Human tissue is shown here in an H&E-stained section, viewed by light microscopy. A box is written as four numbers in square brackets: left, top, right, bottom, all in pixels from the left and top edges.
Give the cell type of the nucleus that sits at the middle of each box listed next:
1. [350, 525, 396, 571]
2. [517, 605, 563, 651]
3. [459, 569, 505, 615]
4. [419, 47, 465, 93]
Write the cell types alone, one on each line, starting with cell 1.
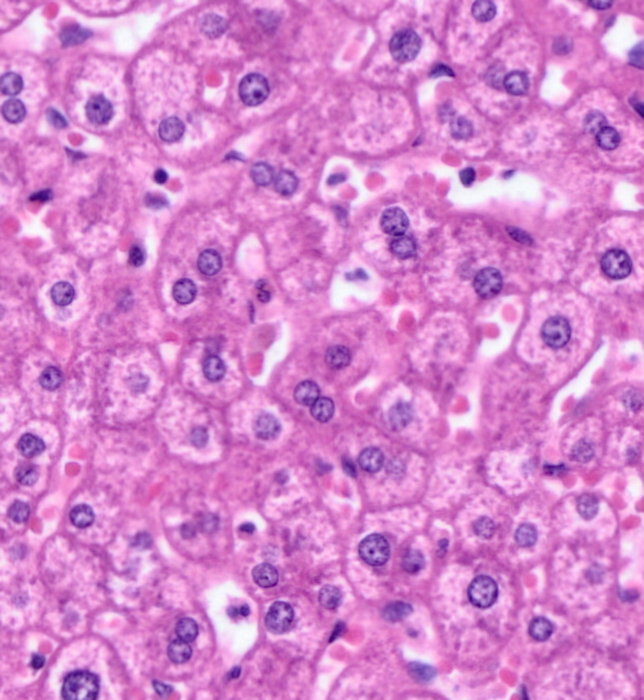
hepatocyte
hepatocyte
hepatocyte
endothelial cell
